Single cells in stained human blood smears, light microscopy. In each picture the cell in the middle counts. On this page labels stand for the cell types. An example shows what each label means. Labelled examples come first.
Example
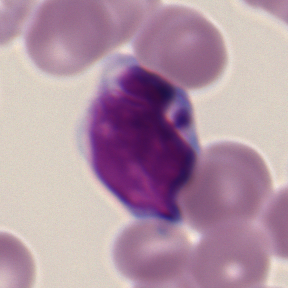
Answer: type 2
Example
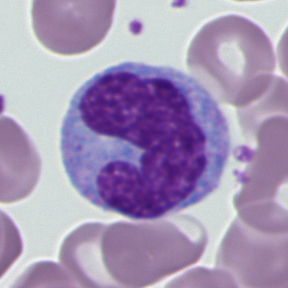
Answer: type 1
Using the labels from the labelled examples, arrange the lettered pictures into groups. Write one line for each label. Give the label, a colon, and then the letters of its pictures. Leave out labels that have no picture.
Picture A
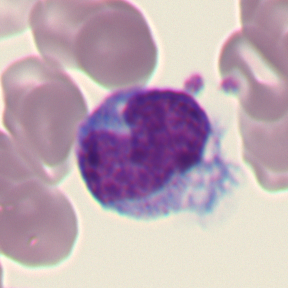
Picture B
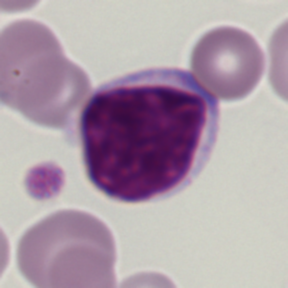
type 2: B
type 1: A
